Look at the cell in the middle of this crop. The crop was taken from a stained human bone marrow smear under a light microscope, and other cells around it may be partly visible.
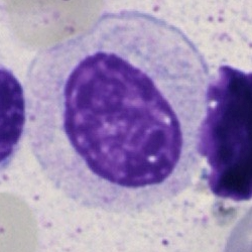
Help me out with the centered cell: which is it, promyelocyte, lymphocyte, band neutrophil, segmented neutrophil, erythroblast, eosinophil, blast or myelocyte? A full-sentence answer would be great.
This particular crop is centered on a myelocyte.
